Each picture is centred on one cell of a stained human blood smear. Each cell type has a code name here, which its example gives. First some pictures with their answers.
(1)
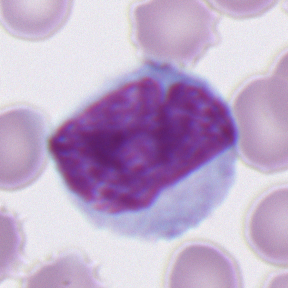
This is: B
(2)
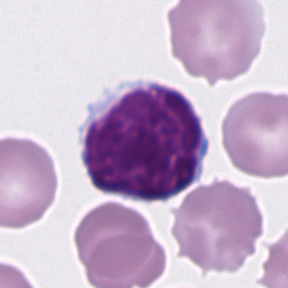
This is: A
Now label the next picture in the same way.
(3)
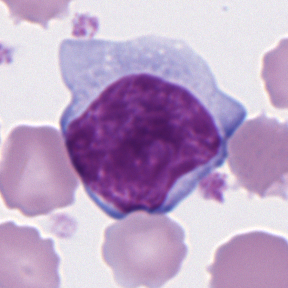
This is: B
